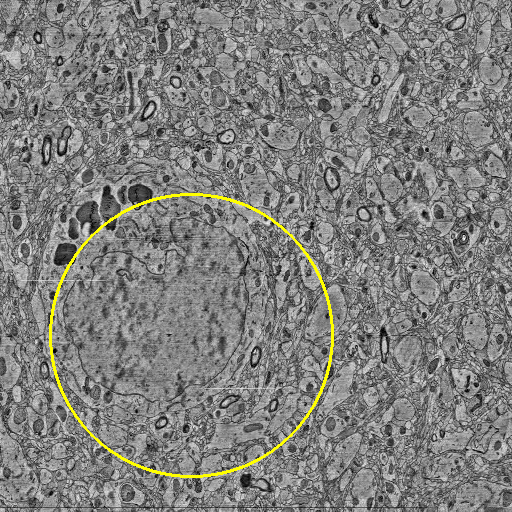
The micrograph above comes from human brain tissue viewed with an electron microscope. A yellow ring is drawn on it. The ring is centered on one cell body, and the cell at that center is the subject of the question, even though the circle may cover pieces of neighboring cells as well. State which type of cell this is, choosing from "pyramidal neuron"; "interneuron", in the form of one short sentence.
The cell the ring is centered on is an interneuron.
